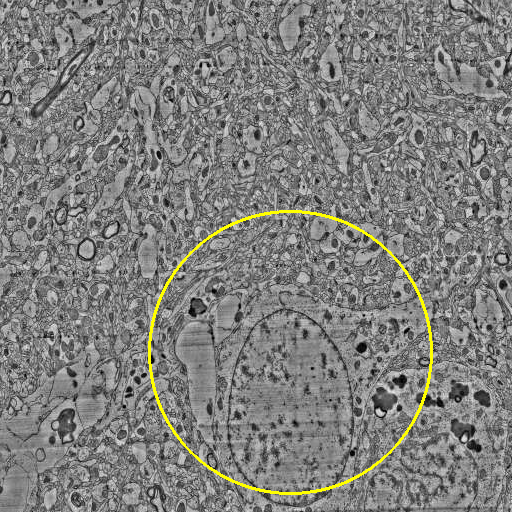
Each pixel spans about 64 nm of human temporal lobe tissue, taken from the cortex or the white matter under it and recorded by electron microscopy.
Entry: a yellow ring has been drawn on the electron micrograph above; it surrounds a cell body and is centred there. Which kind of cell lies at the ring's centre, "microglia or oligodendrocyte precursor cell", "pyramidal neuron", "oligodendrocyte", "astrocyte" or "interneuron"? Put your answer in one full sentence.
The cell sitting at the ring's centre is a pyramidal neuron in the micrograph above.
